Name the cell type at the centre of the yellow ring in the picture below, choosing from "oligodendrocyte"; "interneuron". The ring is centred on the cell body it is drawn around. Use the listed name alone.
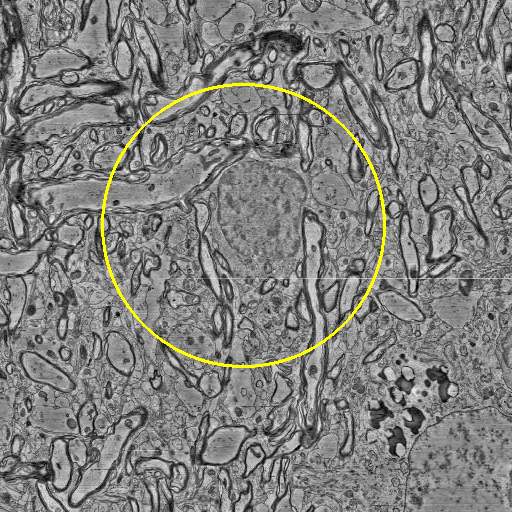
oligodendrocyte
